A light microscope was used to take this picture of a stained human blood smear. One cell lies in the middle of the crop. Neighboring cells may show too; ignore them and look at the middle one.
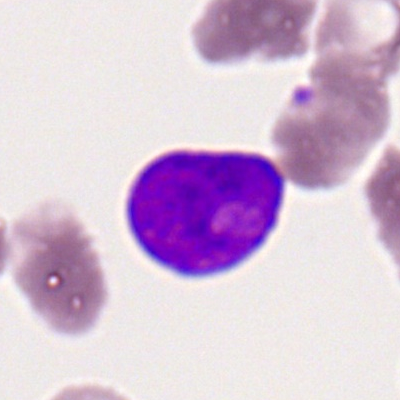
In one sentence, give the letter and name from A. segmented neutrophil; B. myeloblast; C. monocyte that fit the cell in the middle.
Option B is correct, naming the cell in the middle as a myeloblast.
